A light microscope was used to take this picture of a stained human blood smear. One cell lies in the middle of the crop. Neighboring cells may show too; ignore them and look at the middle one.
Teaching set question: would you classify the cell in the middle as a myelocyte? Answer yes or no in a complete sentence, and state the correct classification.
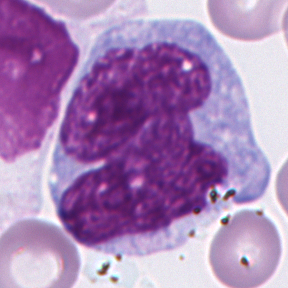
No, the cell in the middle is categorised as a monocyte, not a myelocyte.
